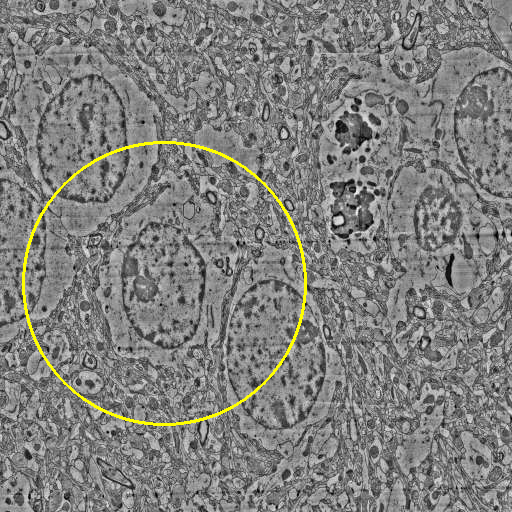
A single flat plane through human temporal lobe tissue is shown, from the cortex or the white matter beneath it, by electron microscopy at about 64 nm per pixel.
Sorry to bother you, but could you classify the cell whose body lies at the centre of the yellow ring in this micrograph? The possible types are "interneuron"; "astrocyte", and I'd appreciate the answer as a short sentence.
The ringed cell body is that of an astrocyte.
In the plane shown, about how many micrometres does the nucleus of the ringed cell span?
The ringed cell's nucleus is about 8 micrometres long and 6 micrometres wide in this plane.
